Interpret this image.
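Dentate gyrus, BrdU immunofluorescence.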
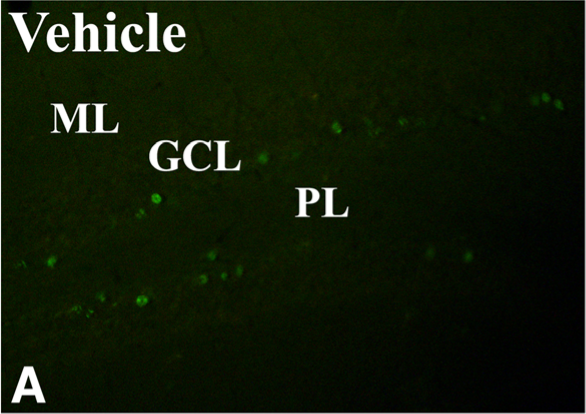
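Against a dark, almost featureless background of brain tissue, small bright green round to oval spots are scattered across the field. Each spot is about the size of a single nucleus, and some lie alone while others sit in small pairs or short clusters. Apart from these spots, little structure of the tissue can be made out.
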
